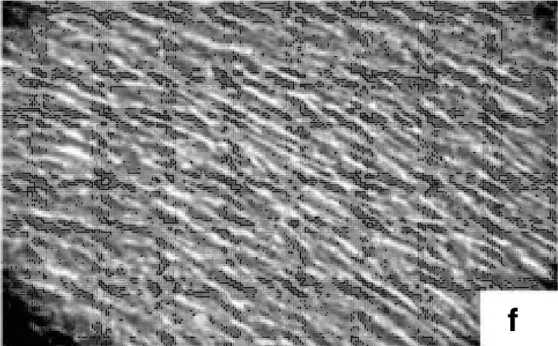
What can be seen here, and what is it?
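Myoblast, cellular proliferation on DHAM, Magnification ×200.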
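Differentiated skeletal muscle cells in culture have formed myotubes, seen as long, slender, bright-edged structures that run parallel across the whole field from upper left to lower right. The tubes are much longer than single cells and lie closely side by side with darker, narrow spaces between them, giving the layer a striped, combed appearance. The arrangement is highly ordered, in contrast with the randomly oriented sheet that single precursor cells form. The corners of the field are darkened by the edge of the viewing field.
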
